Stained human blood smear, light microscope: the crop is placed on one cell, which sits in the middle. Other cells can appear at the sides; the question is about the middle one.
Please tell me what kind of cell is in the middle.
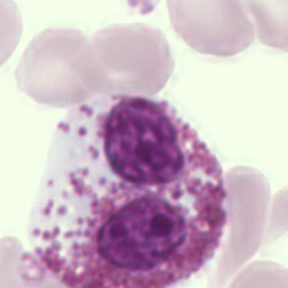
eosinophil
